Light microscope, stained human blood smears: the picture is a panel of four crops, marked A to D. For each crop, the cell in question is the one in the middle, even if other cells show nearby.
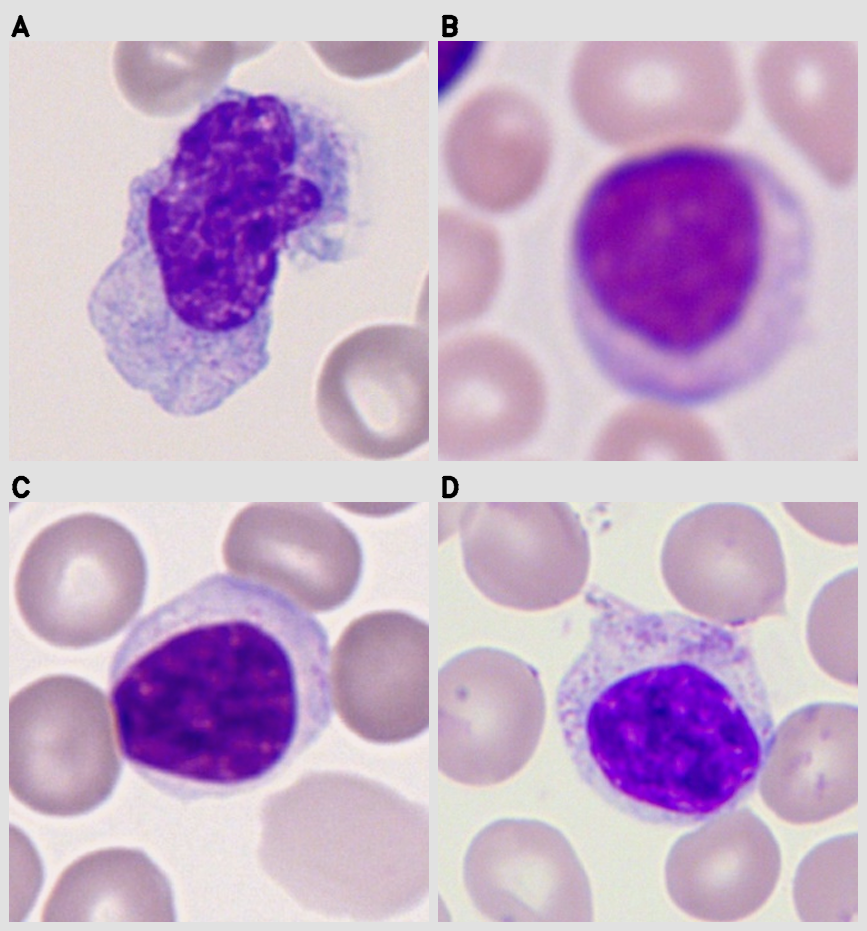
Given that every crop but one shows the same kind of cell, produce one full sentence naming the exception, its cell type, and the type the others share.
Every crop but one shows lymphocytes; the exception, crop A, shows a monocyte.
